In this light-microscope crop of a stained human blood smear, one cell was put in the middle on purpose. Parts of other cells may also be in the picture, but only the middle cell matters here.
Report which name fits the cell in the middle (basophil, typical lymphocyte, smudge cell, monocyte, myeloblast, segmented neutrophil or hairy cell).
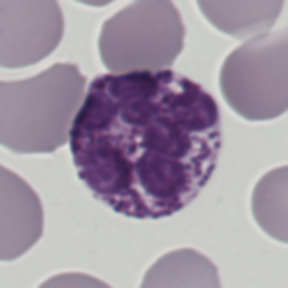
basophil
